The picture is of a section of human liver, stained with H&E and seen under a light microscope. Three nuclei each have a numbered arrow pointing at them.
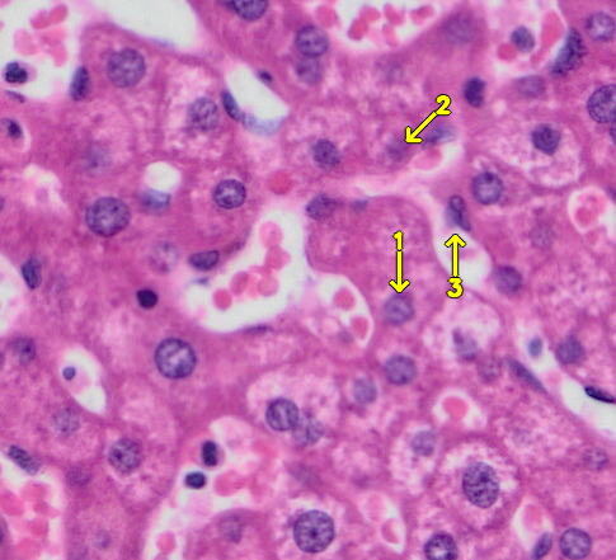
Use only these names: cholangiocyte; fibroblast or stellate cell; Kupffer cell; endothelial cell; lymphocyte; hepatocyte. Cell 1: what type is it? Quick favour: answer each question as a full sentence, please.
The cell indicated with the number 1 is classed as a hepatocyte.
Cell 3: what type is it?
The cell bearing label 3 corresponds to a Kupffer cell.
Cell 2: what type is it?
The expected answer is that cell 2 is a hepatocyte.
